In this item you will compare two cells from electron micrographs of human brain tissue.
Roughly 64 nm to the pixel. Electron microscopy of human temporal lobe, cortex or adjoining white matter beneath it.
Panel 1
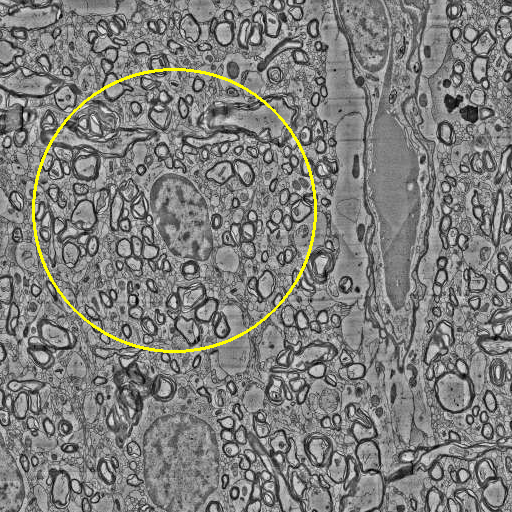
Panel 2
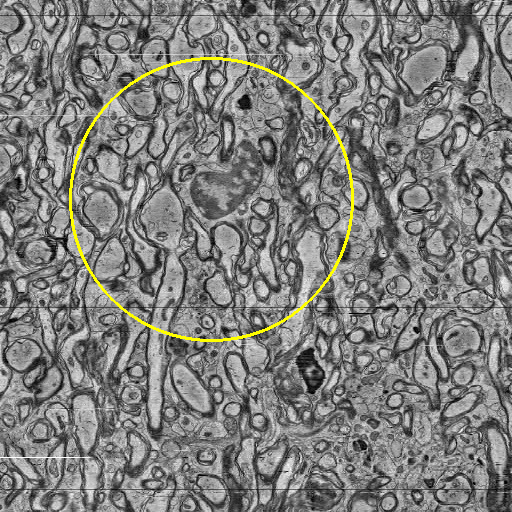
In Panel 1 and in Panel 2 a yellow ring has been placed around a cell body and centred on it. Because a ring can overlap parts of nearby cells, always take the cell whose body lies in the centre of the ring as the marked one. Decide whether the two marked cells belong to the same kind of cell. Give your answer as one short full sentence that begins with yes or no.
Yes, the two marked cells belong to the same kind of cell.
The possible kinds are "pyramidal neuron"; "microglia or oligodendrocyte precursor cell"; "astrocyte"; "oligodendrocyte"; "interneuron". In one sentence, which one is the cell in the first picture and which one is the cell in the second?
The cell at the ring centre is a microglial cell or oligodendrocyte precursor cell in both pictures.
